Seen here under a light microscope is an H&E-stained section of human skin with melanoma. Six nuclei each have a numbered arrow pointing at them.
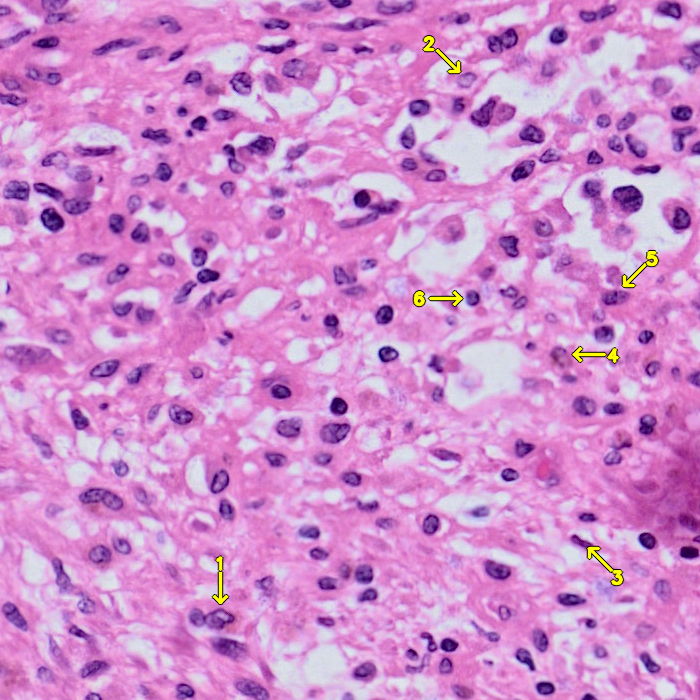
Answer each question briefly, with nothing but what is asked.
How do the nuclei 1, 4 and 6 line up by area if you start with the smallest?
6, 4, 1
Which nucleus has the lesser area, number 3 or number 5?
3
